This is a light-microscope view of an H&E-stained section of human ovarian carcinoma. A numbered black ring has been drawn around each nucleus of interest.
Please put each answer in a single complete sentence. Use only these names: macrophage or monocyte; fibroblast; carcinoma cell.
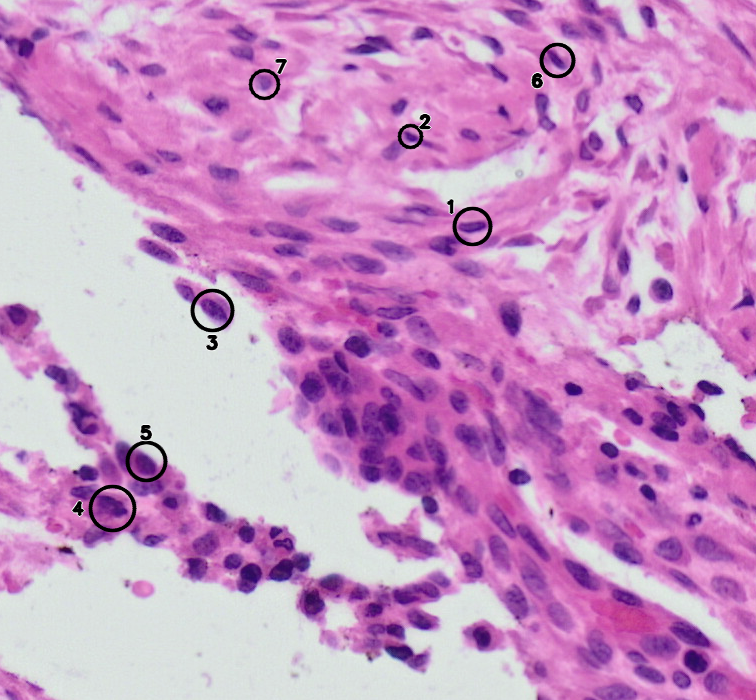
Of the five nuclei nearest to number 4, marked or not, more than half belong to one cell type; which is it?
Most of the five nuclei nearest to number 4 are those of macrophages or monocytes.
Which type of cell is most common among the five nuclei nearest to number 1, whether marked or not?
Around number 1, most of the five nearest nuclei are those of fibroblasts.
